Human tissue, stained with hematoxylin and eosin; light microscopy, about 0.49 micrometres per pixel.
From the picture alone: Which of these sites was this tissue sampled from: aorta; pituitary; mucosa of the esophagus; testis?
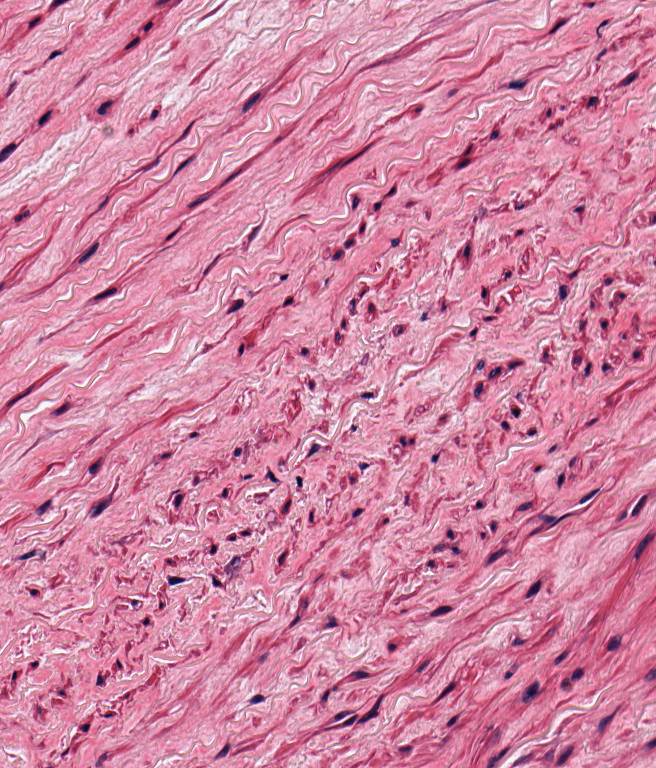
aorta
